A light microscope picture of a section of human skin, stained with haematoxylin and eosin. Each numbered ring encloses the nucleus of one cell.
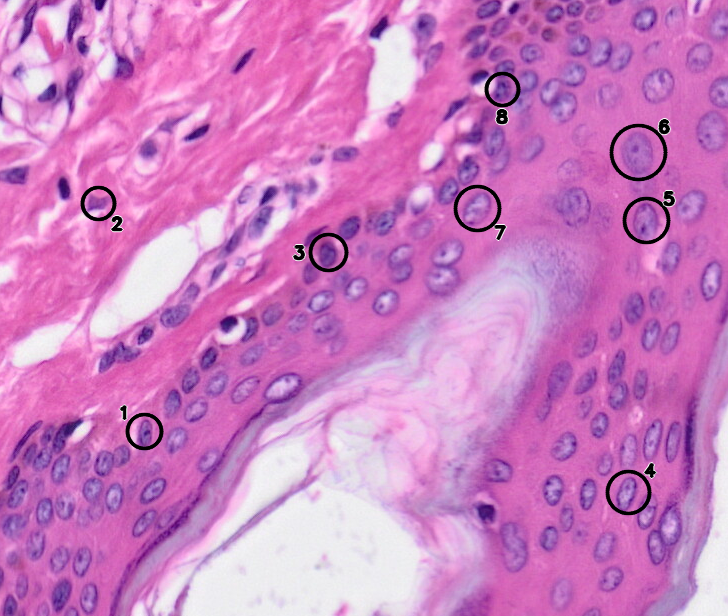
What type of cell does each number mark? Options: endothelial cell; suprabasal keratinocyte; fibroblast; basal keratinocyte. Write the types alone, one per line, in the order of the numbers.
basal keratinocyte
fibroblast
basal keratinocyte
suprabasal keratinocyte
suprabasal keratinocyte
suprabasal keratinocyte
suprabasal keratinocyte
basal keratinocyte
